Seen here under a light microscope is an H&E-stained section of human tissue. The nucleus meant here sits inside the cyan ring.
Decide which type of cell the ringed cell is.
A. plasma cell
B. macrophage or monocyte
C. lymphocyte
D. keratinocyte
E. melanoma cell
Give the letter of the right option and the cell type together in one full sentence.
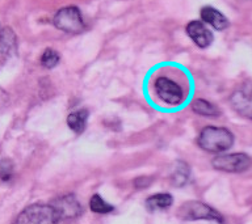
Option A is right, and the ringed cell is a plasma cell.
